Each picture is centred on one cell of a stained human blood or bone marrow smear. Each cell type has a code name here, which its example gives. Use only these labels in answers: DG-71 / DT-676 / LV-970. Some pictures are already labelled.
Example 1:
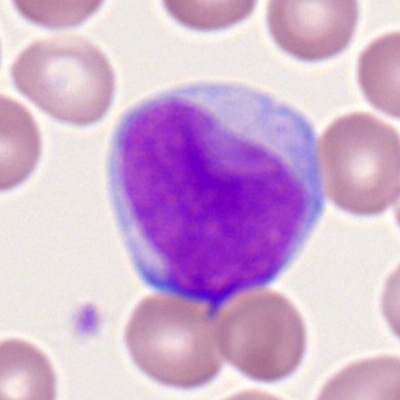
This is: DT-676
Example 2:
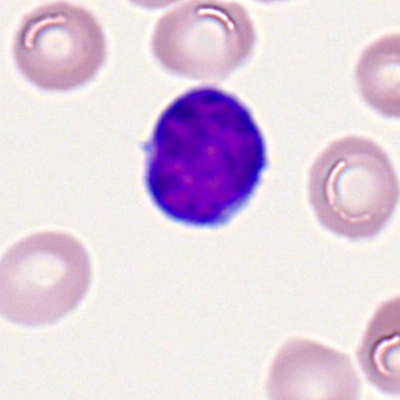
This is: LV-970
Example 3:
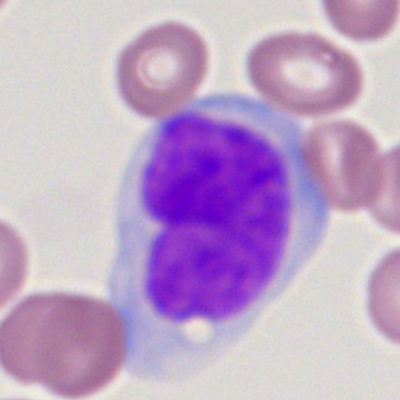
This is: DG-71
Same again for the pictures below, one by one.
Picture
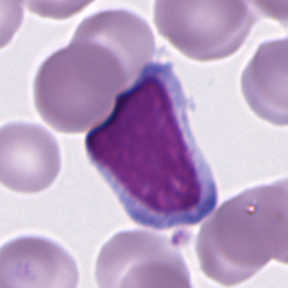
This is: LV-970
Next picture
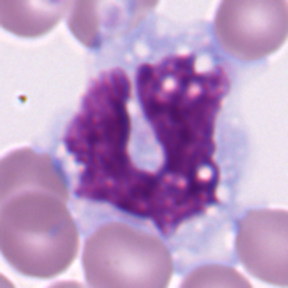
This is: DG-71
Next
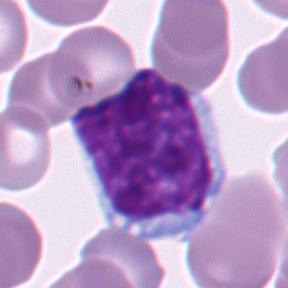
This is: LV-970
